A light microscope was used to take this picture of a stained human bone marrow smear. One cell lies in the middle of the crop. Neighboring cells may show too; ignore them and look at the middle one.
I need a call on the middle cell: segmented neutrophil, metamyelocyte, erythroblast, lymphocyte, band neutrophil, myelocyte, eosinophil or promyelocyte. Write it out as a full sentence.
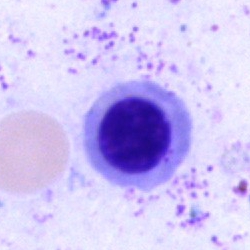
Occupying the centre of the crop is an erythroblast.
